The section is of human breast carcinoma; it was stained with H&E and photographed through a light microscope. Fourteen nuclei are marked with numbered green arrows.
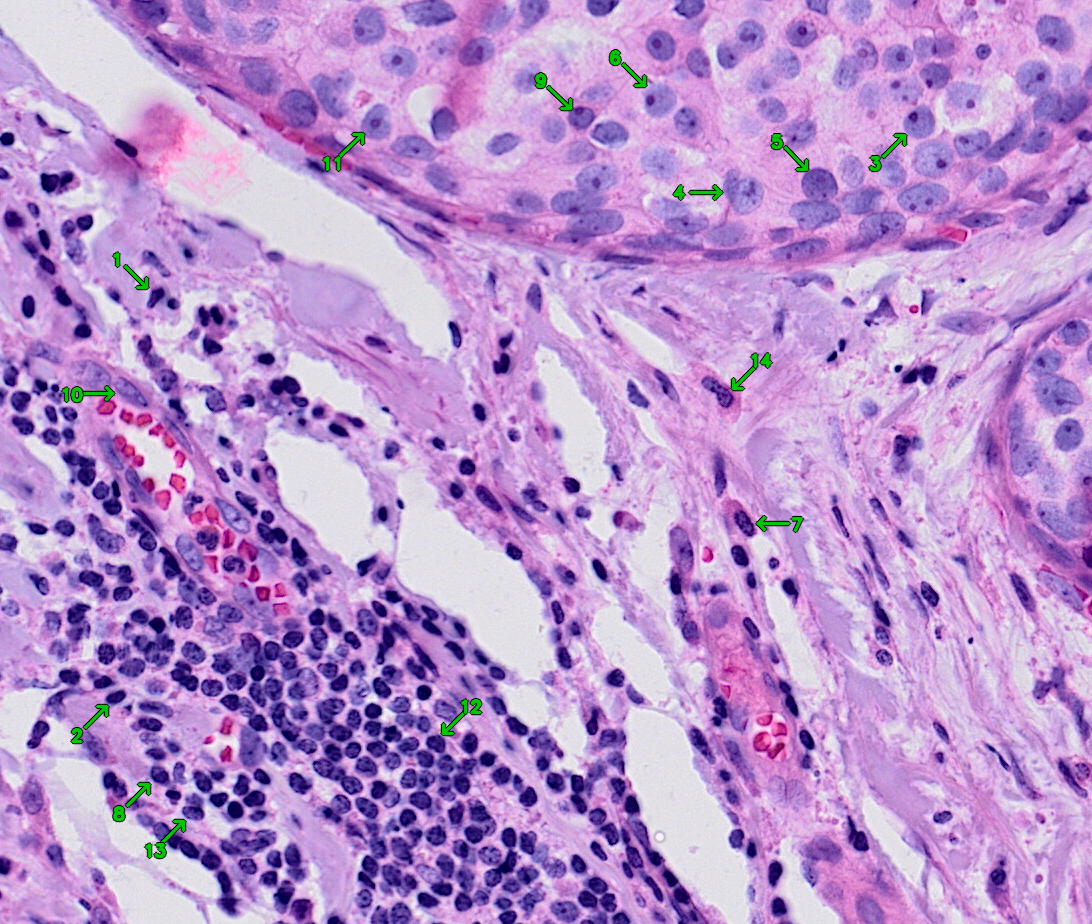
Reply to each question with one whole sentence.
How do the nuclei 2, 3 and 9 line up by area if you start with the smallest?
By area, going up from the smallest, they rank 2, 9, 3.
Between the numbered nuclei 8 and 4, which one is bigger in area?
Nucleus 4 covers more area, about 4 times as much as nucleus 8.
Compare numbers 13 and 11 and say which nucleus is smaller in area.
Nucleus 13 covers less area, with nucleus 11 about 2.5 times as large.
